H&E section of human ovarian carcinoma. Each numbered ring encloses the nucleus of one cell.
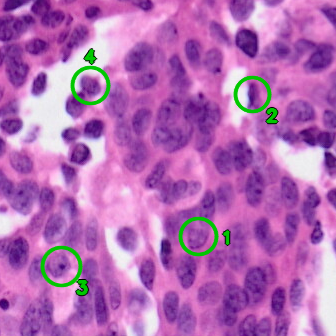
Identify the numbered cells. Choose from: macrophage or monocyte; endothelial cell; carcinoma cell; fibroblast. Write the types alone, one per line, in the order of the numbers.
carcinoma cell
carcinoma cell
macrophage or monocyte
carcinoma cell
